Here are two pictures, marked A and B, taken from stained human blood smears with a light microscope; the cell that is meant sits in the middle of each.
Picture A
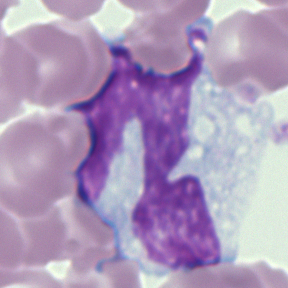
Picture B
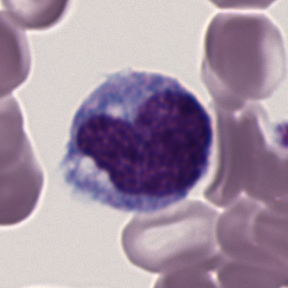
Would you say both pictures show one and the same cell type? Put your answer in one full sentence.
Yes, both are monocytes.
